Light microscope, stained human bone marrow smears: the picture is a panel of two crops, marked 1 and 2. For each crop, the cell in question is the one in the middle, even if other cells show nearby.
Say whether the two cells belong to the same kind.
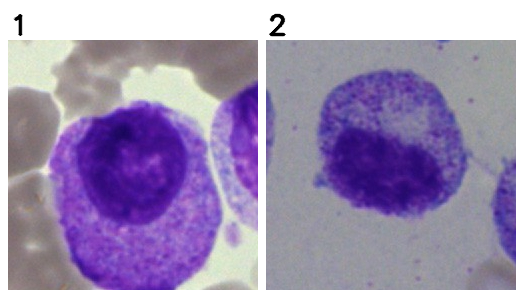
yes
